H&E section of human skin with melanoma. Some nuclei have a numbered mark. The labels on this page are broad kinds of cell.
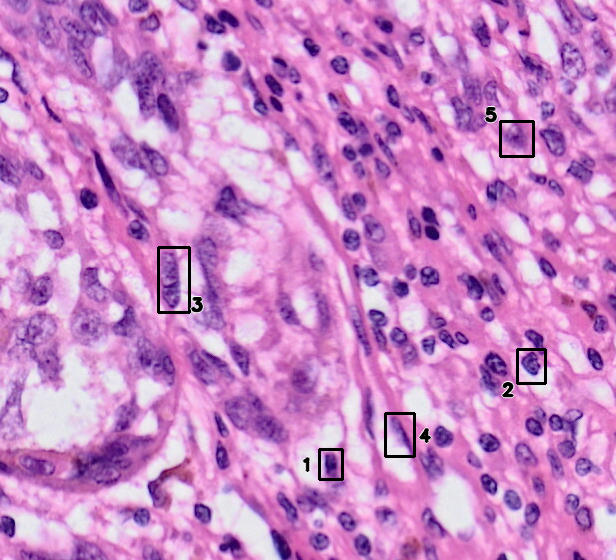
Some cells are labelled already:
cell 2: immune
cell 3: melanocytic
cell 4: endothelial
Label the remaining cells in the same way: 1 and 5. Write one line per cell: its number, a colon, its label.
1: immune
5: melanocytic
